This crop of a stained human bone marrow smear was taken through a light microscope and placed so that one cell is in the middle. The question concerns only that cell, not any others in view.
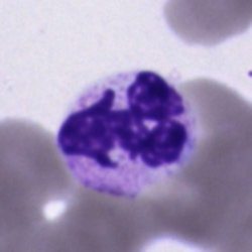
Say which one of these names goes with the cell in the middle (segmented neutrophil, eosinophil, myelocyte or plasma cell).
segmented neutrophil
